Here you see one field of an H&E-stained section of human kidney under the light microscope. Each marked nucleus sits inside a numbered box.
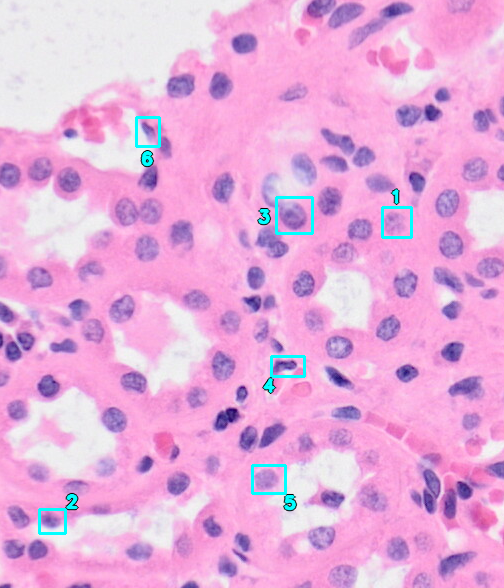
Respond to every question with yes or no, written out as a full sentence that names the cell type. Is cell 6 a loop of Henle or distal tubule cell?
No, it is not a loop of Henle or distal tubule cell that bears number 6 but an endothelial cell.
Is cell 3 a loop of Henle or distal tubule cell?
Yes, the cell that has number 3 is a loop of Henle or distal tubule cell.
